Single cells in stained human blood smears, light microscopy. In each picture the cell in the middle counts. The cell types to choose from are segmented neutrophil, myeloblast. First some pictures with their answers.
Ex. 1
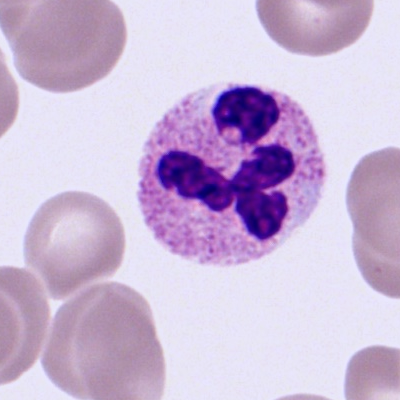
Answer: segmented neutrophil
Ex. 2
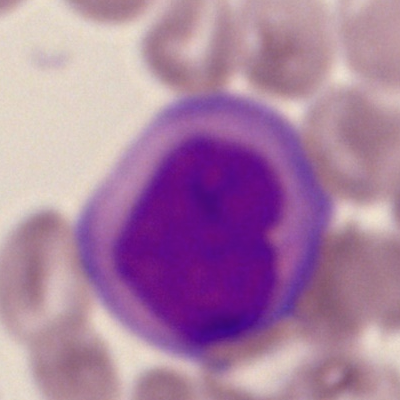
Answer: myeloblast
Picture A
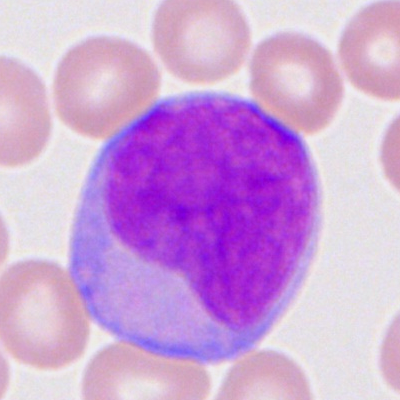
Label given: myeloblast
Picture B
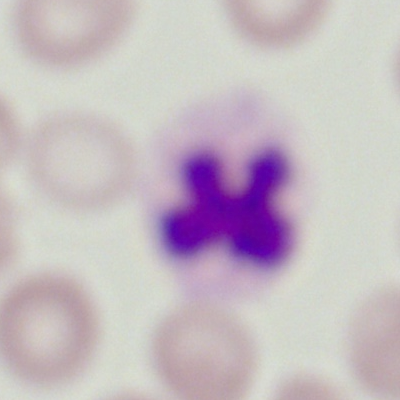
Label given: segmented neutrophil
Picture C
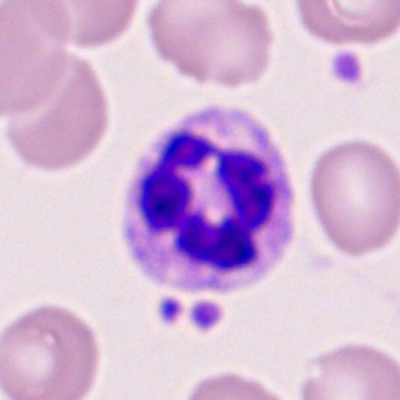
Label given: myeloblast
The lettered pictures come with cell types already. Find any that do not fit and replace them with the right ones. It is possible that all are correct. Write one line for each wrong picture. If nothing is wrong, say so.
Wrong: C (myeloblast); correct: segmented neutrophil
